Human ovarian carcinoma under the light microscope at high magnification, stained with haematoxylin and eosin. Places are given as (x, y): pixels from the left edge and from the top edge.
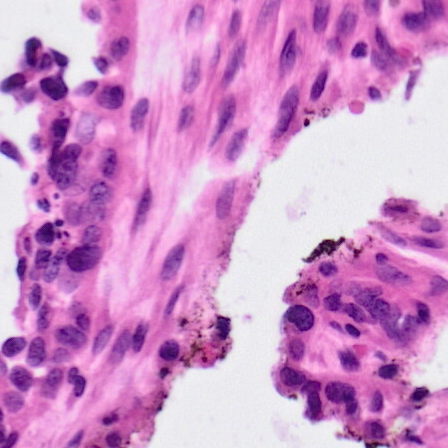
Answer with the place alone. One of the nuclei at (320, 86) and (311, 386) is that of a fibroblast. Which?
(320, 86)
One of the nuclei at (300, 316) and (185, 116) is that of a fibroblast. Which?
(185, 116)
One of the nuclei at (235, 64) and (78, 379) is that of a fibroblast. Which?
(235, 64)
